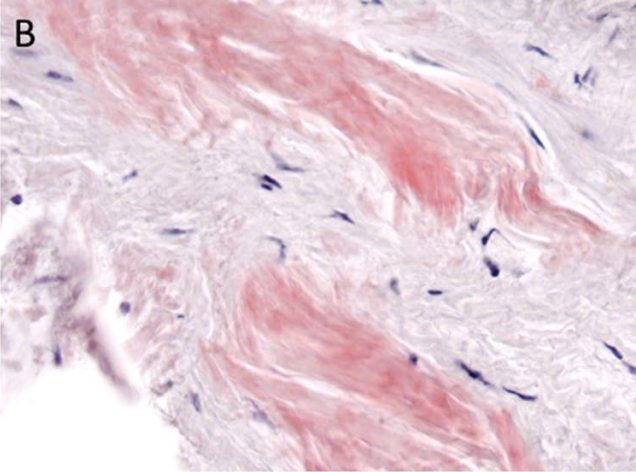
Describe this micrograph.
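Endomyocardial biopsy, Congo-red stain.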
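Two broad bands of homogeneous, faintly fibrillar salmon-red material run diagonally across the field. Around them lies paler fibrous tissue with wavy fibres and scattered thin, elongated, dark blue nuclei.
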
